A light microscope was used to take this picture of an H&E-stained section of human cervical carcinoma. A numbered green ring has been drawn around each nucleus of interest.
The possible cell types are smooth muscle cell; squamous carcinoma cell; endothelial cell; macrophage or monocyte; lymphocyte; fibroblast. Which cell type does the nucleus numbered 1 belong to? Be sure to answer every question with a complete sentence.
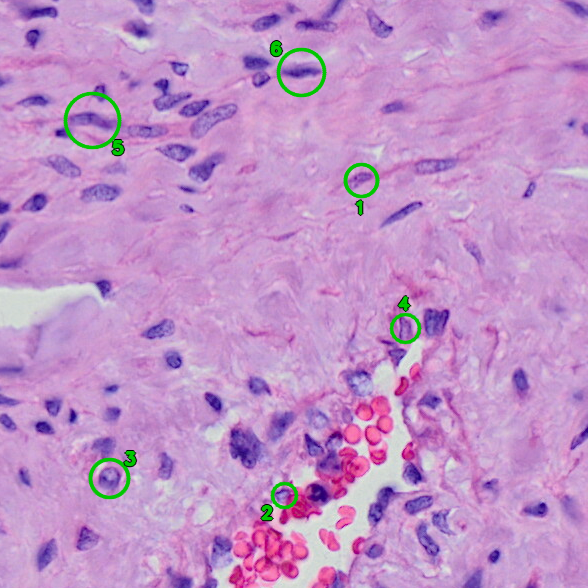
The cell indicated with the number 1 is classed as a smooth muscle cell.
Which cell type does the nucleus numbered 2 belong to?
Looking at the numbered marks, cell 2 is an endothelial cell.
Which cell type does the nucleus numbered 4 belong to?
Here the cell numbered 4 is an endothelial cell.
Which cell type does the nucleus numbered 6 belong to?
Number 6 among the marked cells is a fibroblast.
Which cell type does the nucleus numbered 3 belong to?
In the tissue shown, cell 3 is an endothelial cell.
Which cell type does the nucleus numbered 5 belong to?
Cell 5 should be recorded as a smooth muscle cell.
